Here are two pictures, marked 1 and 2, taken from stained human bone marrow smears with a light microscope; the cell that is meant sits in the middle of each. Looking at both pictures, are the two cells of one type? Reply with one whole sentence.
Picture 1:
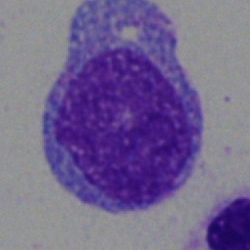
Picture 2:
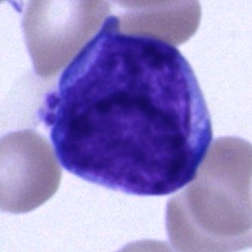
No, the types are not the same, since picture 1 shows a promyelocyte and picture 2 a blast.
